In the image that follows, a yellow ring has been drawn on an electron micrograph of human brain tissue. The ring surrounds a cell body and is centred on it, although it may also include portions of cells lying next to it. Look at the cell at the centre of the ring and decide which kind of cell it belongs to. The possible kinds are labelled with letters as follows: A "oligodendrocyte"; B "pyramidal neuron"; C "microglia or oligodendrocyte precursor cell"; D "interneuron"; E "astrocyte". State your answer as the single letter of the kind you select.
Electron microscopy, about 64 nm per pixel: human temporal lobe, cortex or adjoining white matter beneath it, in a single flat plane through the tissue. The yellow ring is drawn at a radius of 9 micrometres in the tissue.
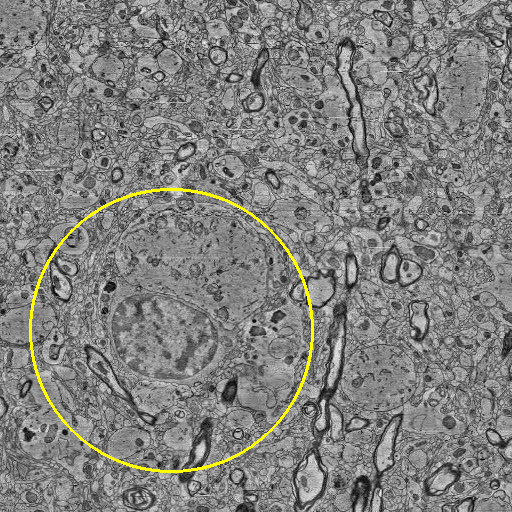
A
